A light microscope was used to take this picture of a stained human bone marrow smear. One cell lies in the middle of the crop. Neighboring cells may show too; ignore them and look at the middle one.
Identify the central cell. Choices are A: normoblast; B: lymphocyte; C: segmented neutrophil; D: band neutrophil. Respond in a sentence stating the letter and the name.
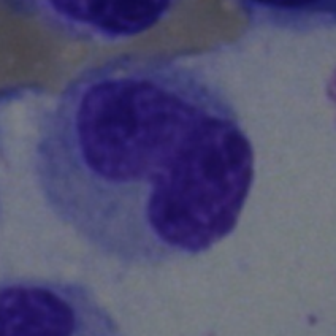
Option D is right in identifying the central cell as a band neutrophil.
